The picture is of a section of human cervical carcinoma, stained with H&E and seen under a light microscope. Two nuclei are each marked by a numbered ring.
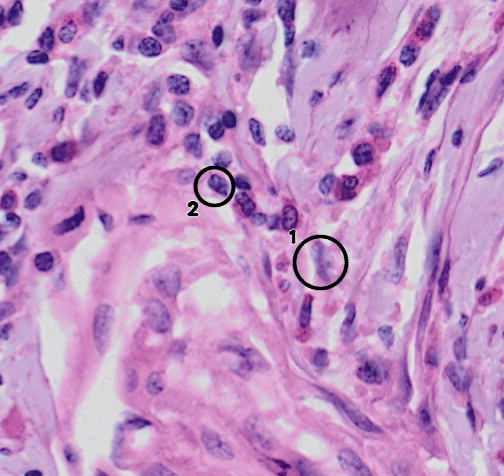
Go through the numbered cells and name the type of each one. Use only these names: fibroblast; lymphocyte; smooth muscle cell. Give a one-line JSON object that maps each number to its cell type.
{"1": "fibroblast", "2": "lymphocyte"}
